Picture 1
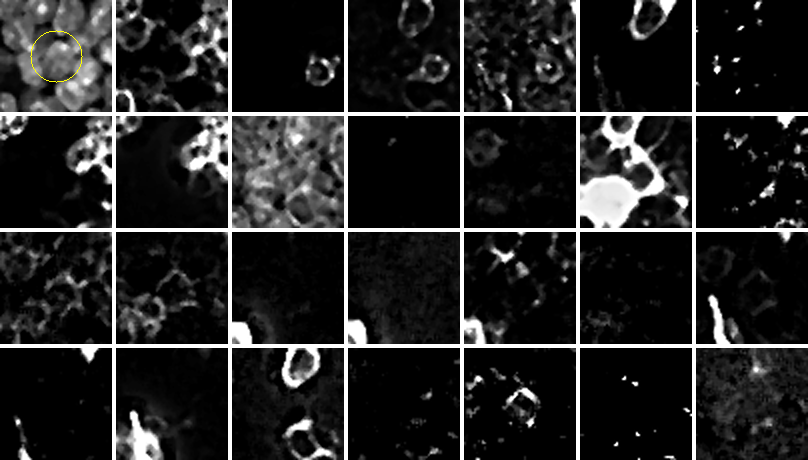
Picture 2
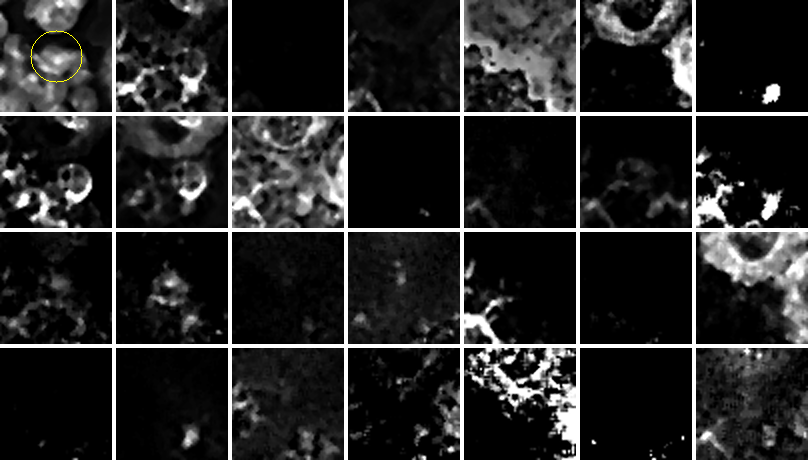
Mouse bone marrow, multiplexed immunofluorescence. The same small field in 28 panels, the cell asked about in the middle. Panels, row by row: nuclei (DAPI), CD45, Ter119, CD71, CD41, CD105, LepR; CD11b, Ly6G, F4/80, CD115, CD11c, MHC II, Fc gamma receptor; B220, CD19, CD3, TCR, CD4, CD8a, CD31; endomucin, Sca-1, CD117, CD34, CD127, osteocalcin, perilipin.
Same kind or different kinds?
Same: common lymphoid progenitors.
